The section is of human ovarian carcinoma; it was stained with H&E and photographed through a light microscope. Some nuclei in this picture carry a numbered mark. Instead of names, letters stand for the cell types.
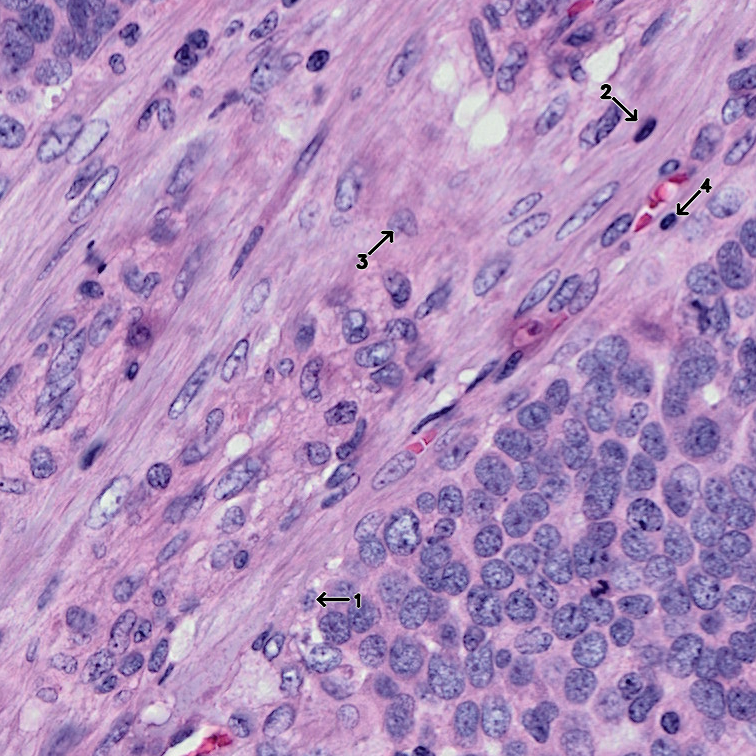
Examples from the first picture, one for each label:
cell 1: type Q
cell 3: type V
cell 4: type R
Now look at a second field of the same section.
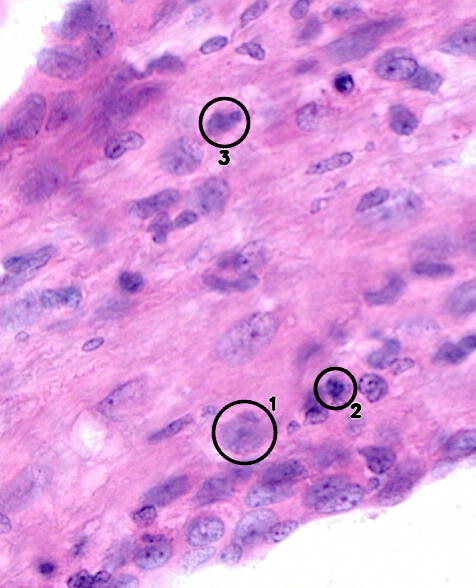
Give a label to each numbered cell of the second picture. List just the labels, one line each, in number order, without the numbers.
type V
type R
type Q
